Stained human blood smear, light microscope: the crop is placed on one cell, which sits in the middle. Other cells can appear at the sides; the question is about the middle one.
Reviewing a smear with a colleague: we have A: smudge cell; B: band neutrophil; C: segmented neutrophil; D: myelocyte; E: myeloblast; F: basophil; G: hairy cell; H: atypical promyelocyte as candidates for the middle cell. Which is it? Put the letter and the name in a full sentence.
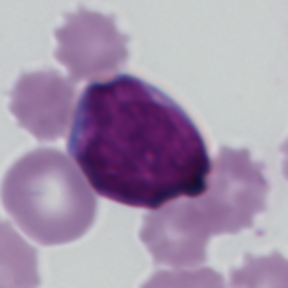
What sits in the middle of the crop is a myeloblast, and option E is correct.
